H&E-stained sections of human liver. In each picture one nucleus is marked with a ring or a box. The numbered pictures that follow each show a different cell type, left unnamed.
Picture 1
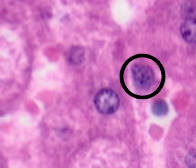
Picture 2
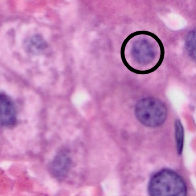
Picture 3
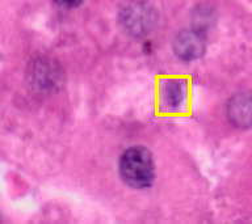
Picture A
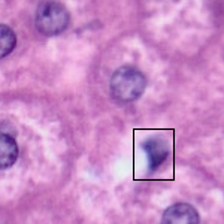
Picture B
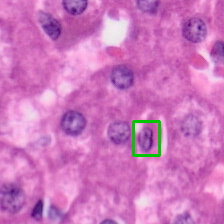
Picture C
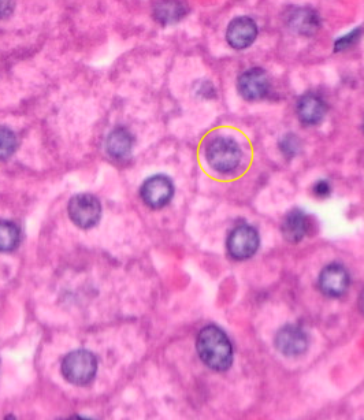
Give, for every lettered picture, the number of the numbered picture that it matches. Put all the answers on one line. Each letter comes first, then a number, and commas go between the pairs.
A 3, B 1, C 2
